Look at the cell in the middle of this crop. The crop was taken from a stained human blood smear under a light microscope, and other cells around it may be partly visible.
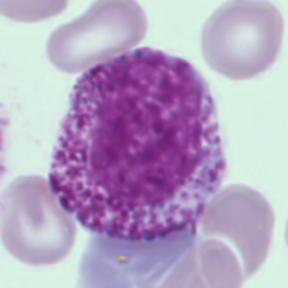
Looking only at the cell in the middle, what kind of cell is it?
myelocyte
